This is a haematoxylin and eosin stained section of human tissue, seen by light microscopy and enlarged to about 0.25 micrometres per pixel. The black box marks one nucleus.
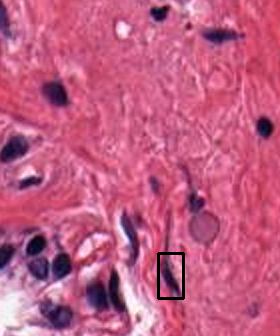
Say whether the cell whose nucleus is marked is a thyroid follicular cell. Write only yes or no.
no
